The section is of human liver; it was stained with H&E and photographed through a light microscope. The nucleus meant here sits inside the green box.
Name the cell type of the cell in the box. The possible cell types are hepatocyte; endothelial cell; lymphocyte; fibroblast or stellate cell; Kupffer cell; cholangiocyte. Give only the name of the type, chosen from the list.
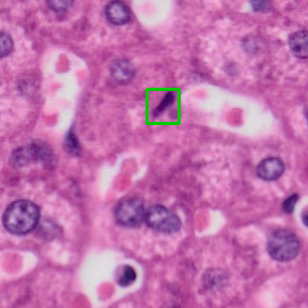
fibroblast or stellate cell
